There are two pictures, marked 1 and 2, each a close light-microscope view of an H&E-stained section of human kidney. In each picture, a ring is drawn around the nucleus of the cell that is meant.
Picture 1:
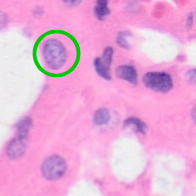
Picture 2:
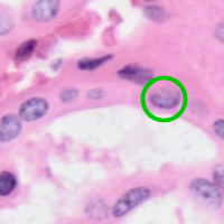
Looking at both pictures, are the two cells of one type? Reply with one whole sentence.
No, the types are not the same, since picture 1 shows a “loop of Henle or distal tubule cell” and picture 2 a collecting duct cell.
